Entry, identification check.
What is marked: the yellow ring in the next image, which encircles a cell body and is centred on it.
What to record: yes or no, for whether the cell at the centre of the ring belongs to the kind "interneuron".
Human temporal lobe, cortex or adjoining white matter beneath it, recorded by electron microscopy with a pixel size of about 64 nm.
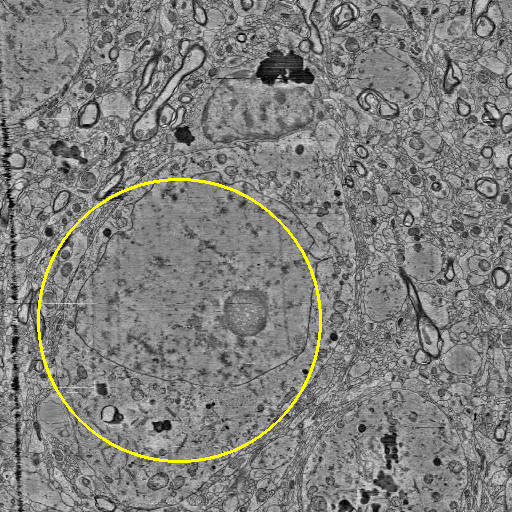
No, it belongs to another kind.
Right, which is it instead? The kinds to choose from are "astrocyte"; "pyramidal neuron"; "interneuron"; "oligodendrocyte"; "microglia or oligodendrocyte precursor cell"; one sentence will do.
It is a pyramidal neuron at the centre of the ring.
